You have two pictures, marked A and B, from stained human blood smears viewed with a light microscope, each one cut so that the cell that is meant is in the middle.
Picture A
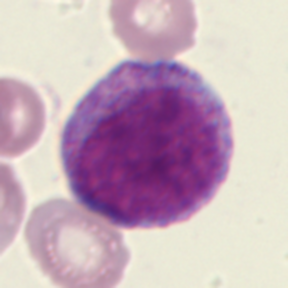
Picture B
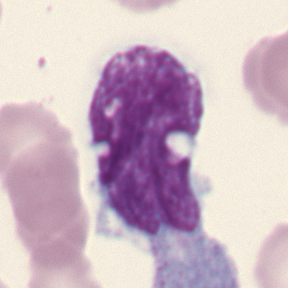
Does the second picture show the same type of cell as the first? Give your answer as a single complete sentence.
No, they differ: the cell is a promyelocyte in picture A and a monocyte in picture B.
